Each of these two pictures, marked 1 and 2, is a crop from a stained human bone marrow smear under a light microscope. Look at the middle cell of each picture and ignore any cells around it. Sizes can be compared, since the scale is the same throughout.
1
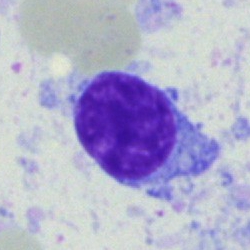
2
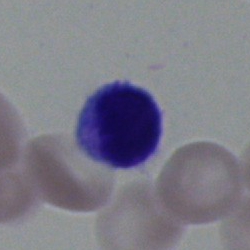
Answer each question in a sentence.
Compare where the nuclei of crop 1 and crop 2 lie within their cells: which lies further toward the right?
In crop 2 the nucleus is shifted more toward the right.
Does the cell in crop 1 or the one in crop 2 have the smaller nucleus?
It is the nucleus in crop 2; the one in crop 1 has about 2 times its area.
